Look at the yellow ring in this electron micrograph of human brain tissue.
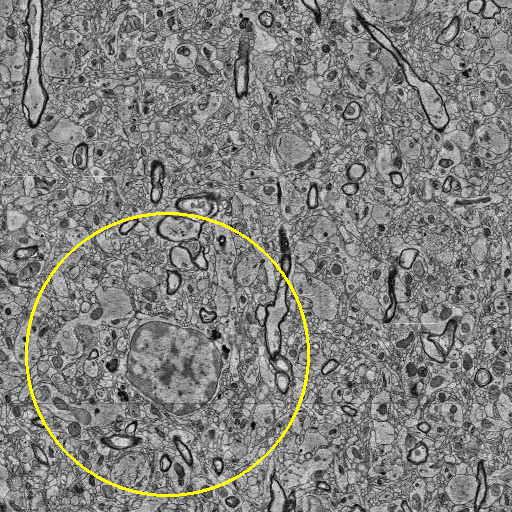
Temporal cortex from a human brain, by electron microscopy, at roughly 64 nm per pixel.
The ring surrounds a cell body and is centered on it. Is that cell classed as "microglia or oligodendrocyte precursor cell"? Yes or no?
Yes, that is its cell type.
